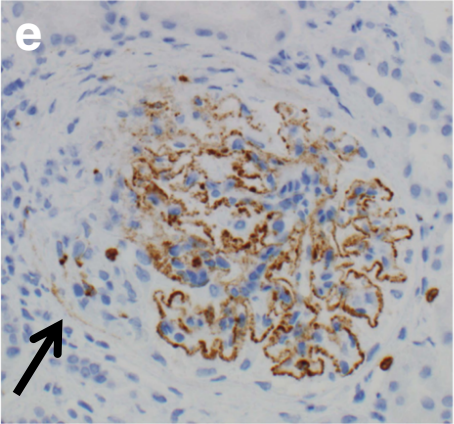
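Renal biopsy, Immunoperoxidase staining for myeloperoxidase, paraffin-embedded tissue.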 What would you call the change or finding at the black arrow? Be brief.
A: Crescent.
